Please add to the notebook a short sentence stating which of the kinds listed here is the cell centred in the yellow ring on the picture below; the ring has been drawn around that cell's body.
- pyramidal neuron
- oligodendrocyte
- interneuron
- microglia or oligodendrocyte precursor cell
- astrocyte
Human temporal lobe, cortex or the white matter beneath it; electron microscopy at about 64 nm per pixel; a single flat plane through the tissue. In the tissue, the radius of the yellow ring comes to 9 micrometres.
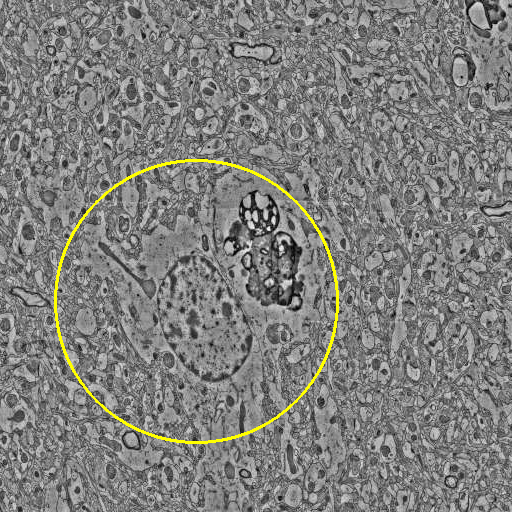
The cell centred in the yellow ring is an astrocyte.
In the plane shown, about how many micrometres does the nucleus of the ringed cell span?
The nucleus comes to roughly 8 by 6 micrometres in this plane.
